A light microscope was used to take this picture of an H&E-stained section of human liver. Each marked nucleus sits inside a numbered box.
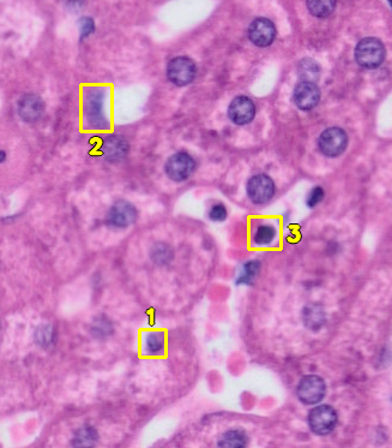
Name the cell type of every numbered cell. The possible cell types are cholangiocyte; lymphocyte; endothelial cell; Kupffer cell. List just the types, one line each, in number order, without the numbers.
Kupffer cell
endothelial cell
lymphocyte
